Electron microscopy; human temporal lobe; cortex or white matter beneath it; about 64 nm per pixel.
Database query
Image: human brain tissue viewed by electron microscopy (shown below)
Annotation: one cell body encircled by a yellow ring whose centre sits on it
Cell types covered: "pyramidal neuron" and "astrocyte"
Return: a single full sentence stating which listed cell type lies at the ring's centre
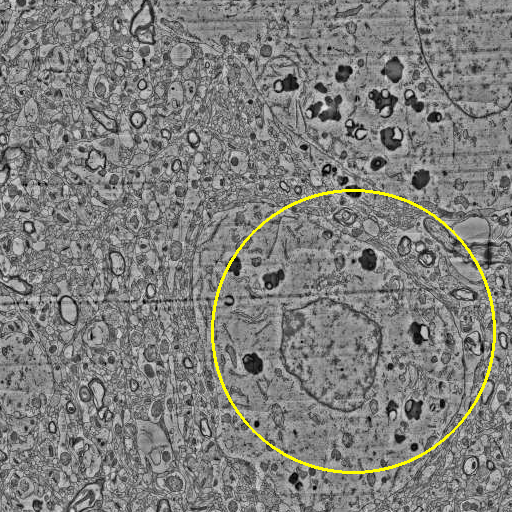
In the image, the cell lying at the ring's centre is a pyramidal neuron.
